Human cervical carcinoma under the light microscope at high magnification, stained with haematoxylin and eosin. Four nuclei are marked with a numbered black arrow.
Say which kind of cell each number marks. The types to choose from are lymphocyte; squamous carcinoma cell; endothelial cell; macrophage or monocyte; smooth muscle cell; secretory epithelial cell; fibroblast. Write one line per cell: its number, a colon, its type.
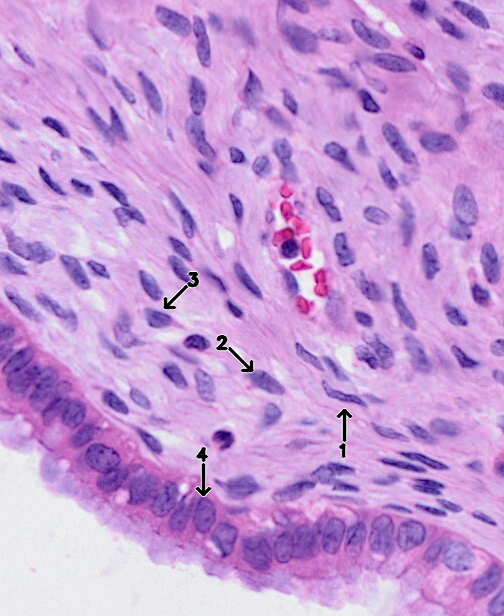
1: fibroblast
2: fibroblast
3: fibroblast
4: secretory epithelial cell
